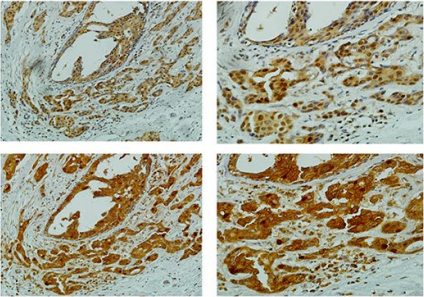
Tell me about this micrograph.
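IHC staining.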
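The tumour cells form irregular cords, nests and strands that run through a paler, fibrous stroma. The brown colour fills the cytoplasm of the tumour cells densely, and many of their nuclei are brown as well. Between the nests the stroma holds spindle-shaped cells with small blue nuclei that stay largely unstained. The upper and lower rows show closely matching fields of the same tumour, with cleft-like spaces lying between the cell nests.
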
